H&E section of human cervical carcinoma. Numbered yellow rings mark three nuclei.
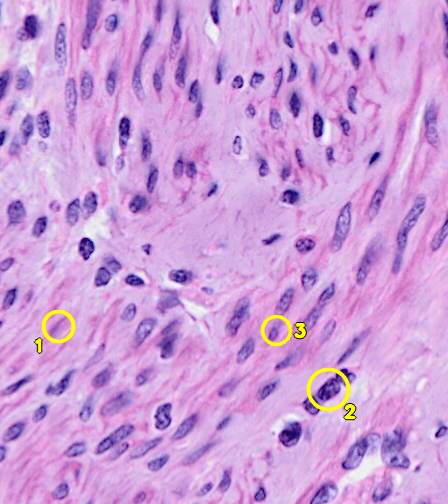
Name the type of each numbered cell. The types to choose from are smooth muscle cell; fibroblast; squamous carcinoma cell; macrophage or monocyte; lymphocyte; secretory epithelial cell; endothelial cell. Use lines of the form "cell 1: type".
cell 1: smooth muscle cell
cell 2: lymphocyte
cell 3: smooth muscle cell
